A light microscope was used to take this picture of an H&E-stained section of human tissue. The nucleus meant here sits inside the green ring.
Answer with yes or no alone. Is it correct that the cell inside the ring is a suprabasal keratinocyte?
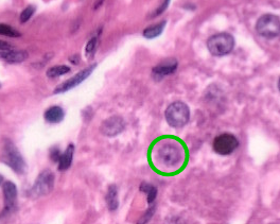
no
